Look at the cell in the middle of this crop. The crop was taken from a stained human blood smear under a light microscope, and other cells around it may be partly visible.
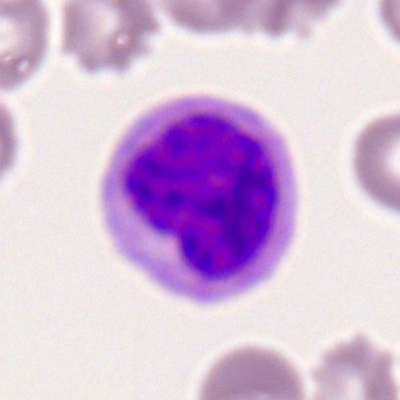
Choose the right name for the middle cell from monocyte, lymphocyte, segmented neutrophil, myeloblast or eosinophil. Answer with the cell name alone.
monocyte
